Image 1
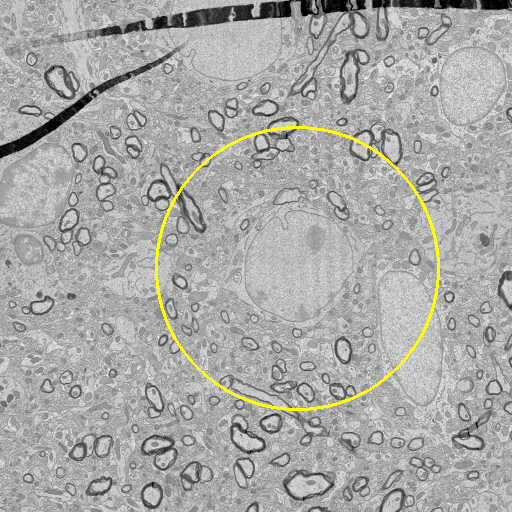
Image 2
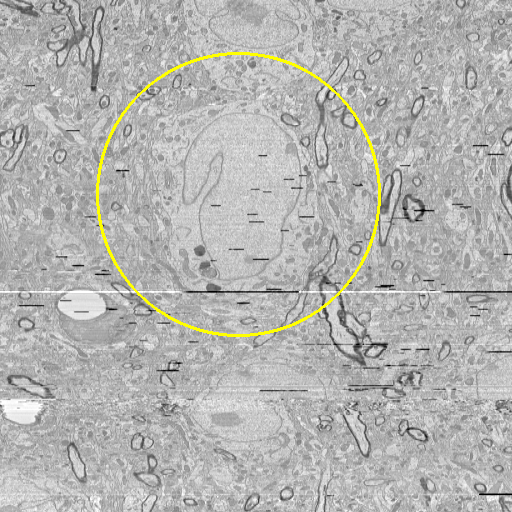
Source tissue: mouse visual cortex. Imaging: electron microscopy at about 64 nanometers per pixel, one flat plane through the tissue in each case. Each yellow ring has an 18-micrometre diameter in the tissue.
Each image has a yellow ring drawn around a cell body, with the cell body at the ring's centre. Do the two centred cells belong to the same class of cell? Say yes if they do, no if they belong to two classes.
yes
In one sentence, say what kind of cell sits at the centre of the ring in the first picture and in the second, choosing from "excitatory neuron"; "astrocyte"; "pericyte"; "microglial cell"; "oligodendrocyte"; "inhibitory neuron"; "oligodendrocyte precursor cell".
Each of the ringed cells, first and second, is an excitatory neuron.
